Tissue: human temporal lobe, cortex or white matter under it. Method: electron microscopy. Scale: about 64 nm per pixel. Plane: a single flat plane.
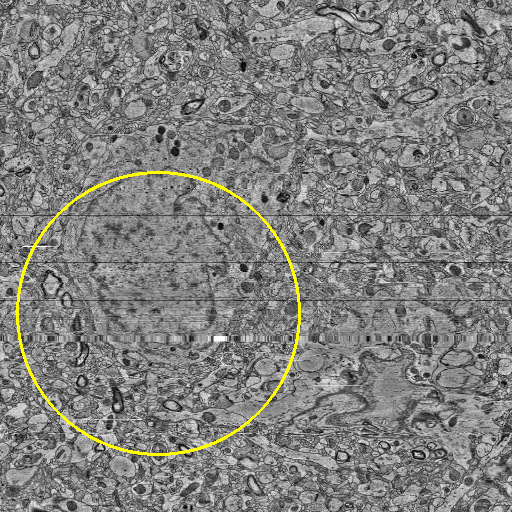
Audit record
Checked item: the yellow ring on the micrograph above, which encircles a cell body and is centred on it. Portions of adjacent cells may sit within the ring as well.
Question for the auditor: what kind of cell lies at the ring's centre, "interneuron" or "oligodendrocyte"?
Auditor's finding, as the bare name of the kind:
interneuron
